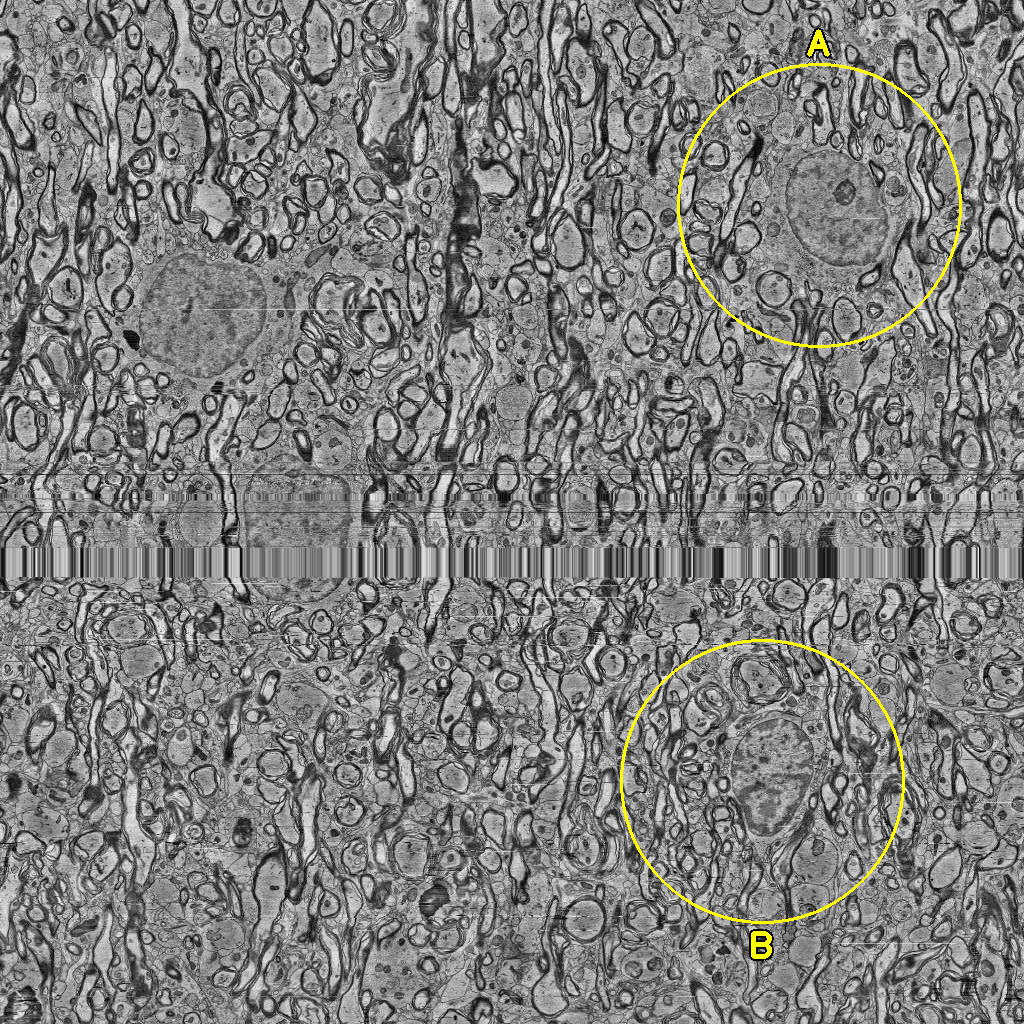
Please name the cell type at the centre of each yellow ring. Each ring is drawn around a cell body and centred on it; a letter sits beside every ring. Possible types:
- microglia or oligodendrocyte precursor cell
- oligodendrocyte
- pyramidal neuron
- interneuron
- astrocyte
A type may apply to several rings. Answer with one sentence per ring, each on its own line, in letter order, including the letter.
Ring A is centred on the cell body of an oligodendrocyte.
Ring B is centred on the cell body of a microglial cell or oligodendrocyte precursor cell.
